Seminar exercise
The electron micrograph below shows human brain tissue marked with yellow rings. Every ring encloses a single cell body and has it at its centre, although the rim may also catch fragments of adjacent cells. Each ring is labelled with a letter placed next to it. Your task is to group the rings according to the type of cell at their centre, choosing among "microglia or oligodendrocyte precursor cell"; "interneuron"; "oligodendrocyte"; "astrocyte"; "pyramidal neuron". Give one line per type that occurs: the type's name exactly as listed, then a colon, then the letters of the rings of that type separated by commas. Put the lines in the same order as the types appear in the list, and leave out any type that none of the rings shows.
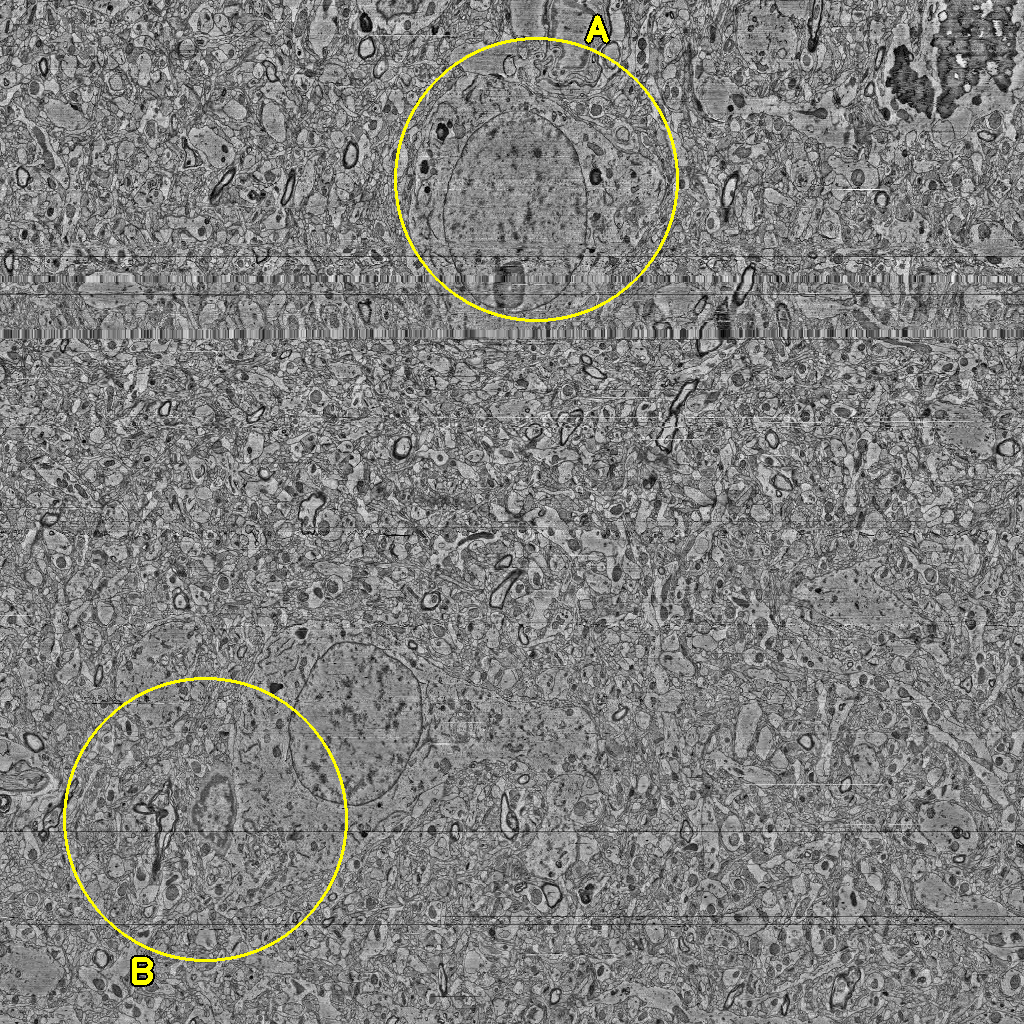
oligodendrocyte: B
pyramidal neuron: A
